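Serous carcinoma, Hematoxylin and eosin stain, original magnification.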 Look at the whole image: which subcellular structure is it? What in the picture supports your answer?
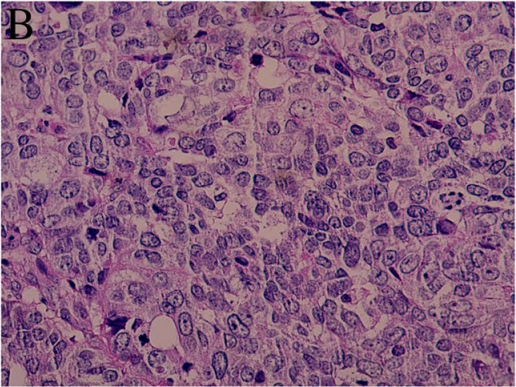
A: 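Many nuclei contain a clearly visible dark dot inside them.
Answer: distinct nucleoli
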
